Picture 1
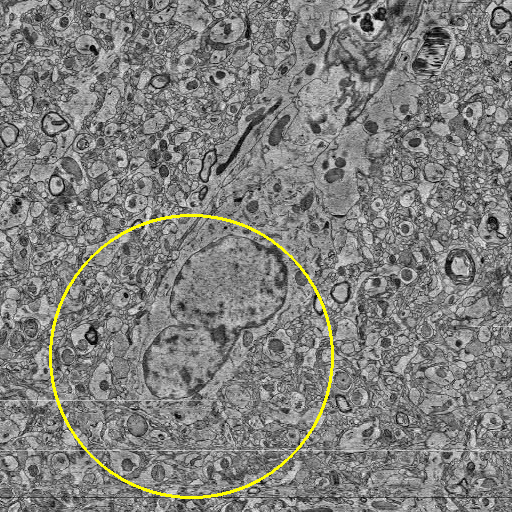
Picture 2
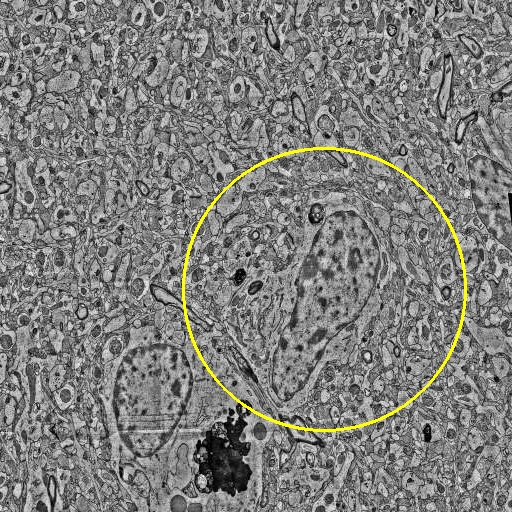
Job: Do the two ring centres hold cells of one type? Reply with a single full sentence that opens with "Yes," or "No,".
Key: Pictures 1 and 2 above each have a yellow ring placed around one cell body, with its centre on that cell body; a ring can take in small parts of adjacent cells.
Yes, the cells at the two ring centres are of one single type.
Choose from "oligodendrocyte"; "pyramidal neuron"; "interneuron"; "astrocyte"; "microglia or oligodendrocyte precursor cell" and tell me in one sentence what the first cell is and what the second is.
The ring centre holds a microglial cell or oligodendrocyte precursor cell in each of the two pictures.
